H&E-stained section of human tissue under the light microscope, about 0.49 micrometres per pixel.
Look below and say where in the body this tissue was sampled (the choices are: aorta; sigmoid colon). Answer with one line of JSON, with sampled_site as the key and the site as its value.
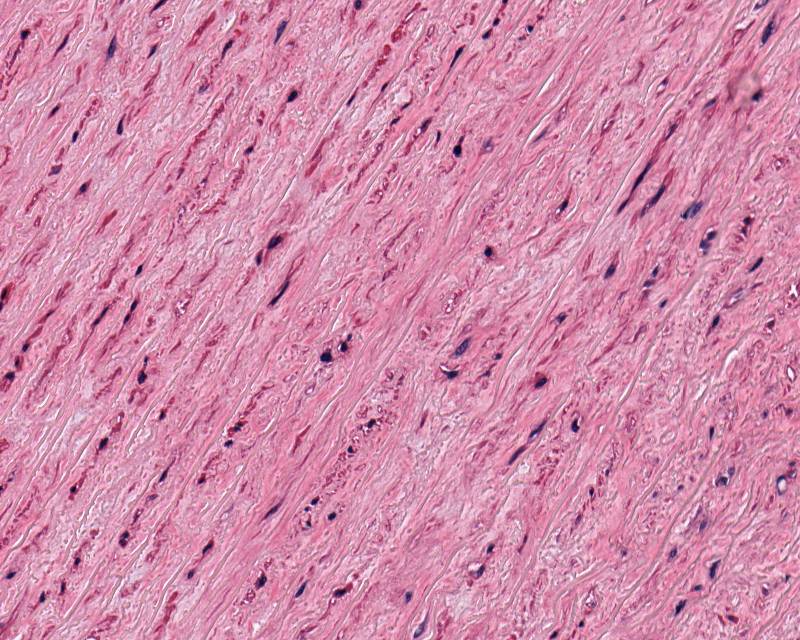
{"sampled_site": "aorta"}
